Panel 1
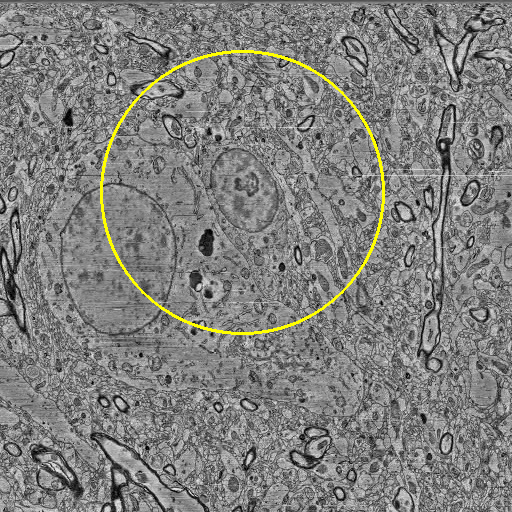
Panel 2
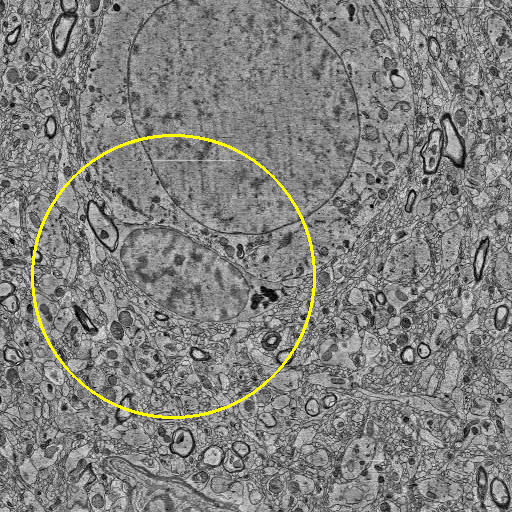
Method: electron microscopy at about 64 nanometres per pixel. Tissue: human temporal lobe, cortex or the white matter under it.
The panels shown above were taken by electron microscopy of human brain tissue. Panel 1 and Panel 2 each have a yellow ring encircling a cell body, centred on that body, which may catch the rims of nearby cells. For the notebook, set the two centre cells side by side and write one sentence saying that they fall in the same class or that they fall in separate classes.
The centred cells of Panel 1 and Panel 2 fall in the same class.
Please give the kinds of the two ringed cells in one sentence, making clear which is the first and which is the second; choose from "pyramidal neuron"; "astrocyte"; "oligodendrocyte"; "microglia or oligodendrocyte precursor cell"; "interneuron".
The second cell is an oligodendrocyte, just as the first is.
